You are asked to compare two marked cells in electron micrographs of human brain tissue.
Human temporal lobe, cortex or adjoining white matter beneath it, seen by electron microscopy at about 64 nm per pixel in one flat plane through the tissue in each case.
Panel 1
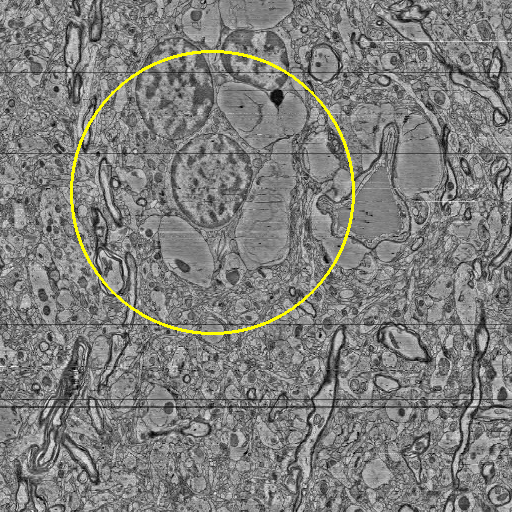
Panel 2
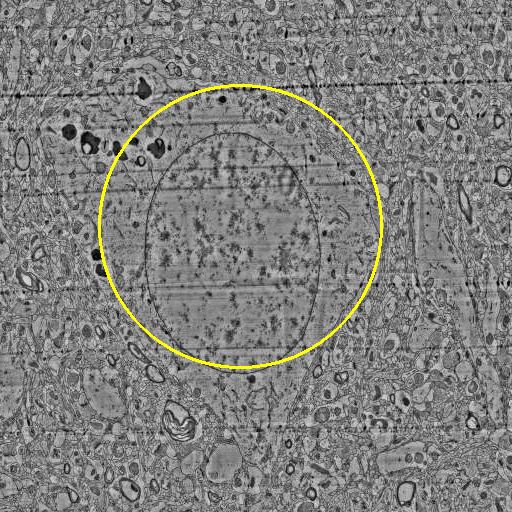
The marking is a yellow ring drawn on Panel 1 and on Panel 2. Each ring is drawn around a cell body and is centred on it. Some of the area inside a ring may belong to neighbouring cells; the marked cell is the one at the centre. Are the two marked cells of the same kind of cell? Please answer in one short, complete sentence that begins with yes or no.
No, the two marked cells are of two kinds.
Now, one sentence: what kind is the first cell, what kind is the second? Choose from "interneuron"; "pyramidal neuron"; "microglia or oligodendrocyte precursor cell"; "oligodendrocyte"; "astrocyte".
The first picture has an oligodendrocyte at its ring centre, and the second has a pyramidal neuron.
